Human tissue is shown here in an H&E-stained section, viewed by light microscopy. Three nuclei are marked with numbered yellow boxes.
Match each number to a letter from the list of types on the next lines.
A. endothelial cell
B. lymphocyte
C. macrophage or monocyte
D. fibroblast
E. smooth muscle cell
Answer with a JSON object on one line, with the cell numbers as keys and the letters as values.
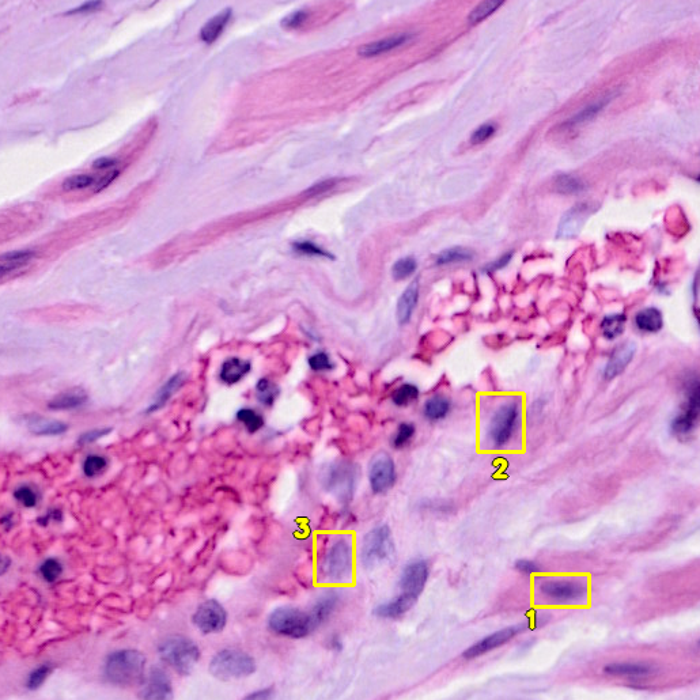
{"1": "E", "2": "A", "3": "A"}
